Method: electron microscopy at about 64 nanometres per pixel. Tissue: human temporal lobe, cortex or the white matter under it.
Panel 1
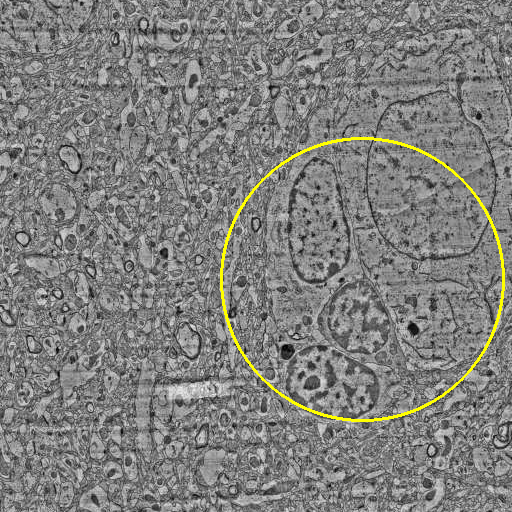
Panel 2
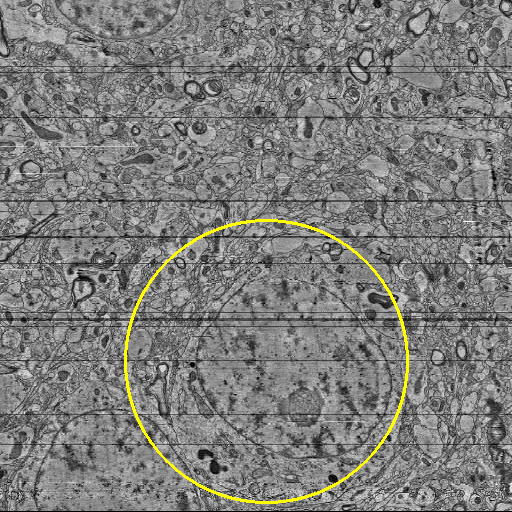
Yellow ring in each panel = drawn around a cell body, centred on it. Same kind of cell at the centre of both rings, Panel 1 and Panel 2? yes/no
no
